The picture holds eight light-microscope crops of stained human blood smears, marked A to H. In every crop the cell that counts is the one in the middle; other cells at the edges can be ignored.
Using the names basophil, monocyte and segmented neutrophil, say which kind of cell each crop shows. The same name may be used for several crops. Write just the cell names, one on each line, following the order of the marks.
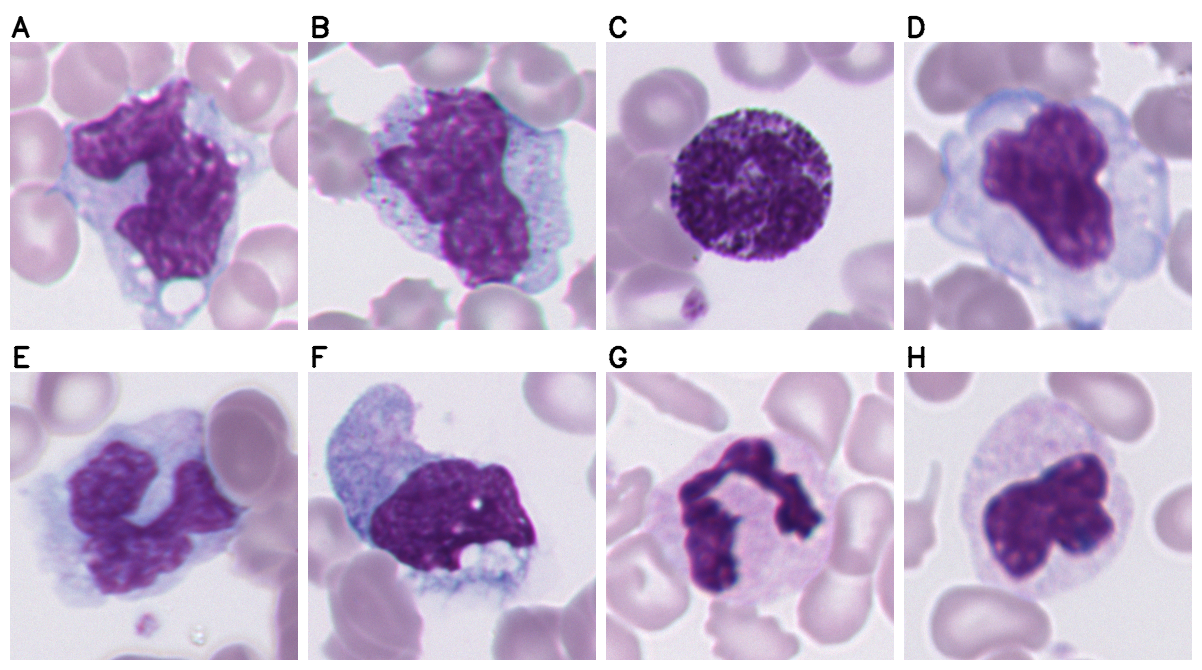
monocyte
monocyte
basophil
monocyte
monocyte
monocyte
segmented neutrophil
segmented neutrophil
